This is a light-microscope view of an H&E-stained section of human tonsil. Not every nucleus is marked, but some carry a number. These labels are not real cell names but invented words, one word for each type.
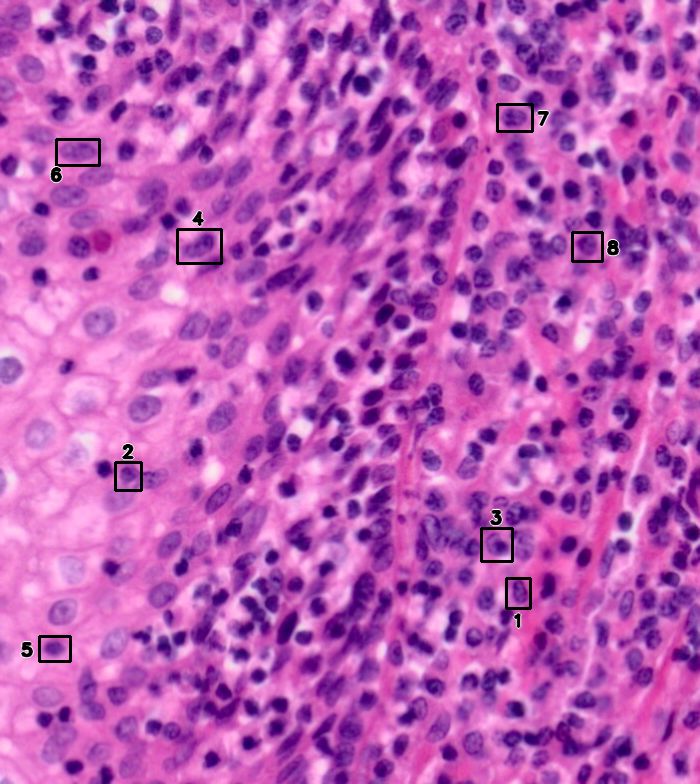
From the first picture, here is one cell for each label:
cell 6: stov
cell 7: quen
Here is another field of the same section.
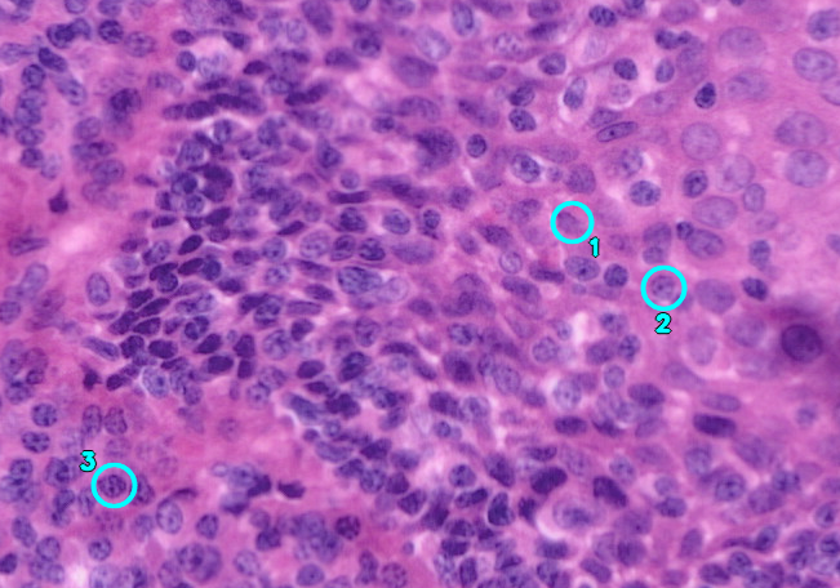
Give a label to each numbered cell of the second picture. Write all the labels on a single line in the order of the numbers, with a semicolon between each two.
stov; stov; quen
